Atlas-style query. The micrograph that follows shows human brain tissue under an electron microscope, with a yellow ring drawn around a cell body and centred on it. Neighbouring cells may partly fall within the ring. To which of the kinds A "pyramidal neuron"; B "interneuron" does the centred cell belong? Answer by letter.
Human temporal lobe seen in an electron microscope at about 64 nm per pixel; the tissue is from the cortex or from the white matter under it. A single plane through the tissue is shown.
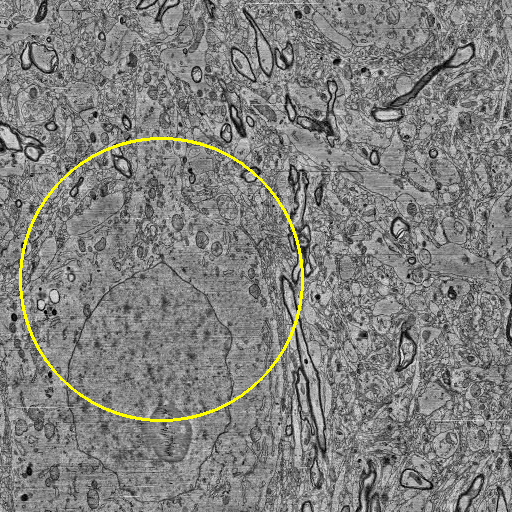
A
